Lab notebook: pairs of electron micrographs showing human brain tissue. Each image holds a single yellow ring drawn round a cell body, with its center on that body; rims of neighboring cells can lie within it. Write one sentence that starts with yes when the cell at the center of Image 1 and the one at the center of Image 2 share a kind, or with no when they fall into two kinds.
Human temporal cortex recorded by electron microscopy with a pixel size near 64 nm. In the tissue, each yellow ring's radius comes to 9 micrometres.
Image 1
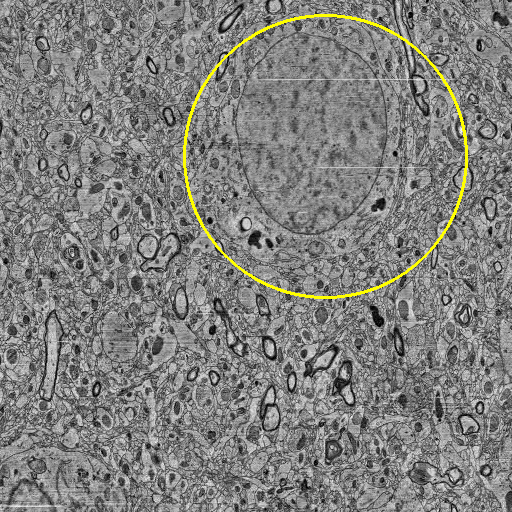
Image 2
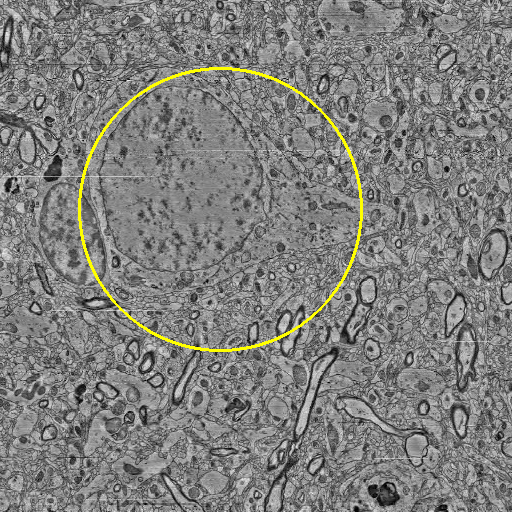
Yes, the centered cell in Image 1 and the centered cell in Image 2 are of one kind.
